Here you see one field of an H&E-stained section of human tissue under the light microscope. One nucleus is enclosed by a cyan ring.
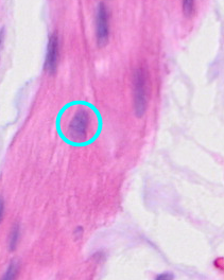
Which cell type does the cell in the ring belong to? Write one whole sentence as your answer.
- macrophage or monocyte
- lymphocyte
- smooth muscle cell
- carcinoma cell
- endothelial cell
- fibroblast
Students should answer that the cell in the ring is a smooth muscle cell.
